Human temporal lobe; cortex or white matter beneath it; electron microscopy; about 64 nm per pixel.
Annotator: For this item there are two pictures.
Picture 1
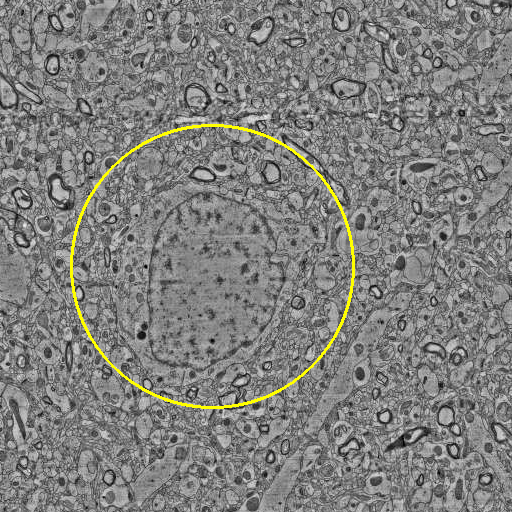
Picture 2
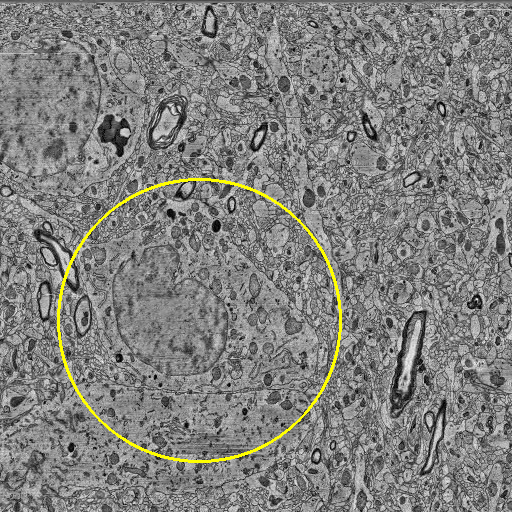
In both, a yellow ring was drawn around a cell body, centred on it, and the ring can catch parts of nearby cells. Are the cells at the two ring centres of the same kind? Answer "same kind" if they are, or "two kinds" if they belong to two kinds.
same kind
